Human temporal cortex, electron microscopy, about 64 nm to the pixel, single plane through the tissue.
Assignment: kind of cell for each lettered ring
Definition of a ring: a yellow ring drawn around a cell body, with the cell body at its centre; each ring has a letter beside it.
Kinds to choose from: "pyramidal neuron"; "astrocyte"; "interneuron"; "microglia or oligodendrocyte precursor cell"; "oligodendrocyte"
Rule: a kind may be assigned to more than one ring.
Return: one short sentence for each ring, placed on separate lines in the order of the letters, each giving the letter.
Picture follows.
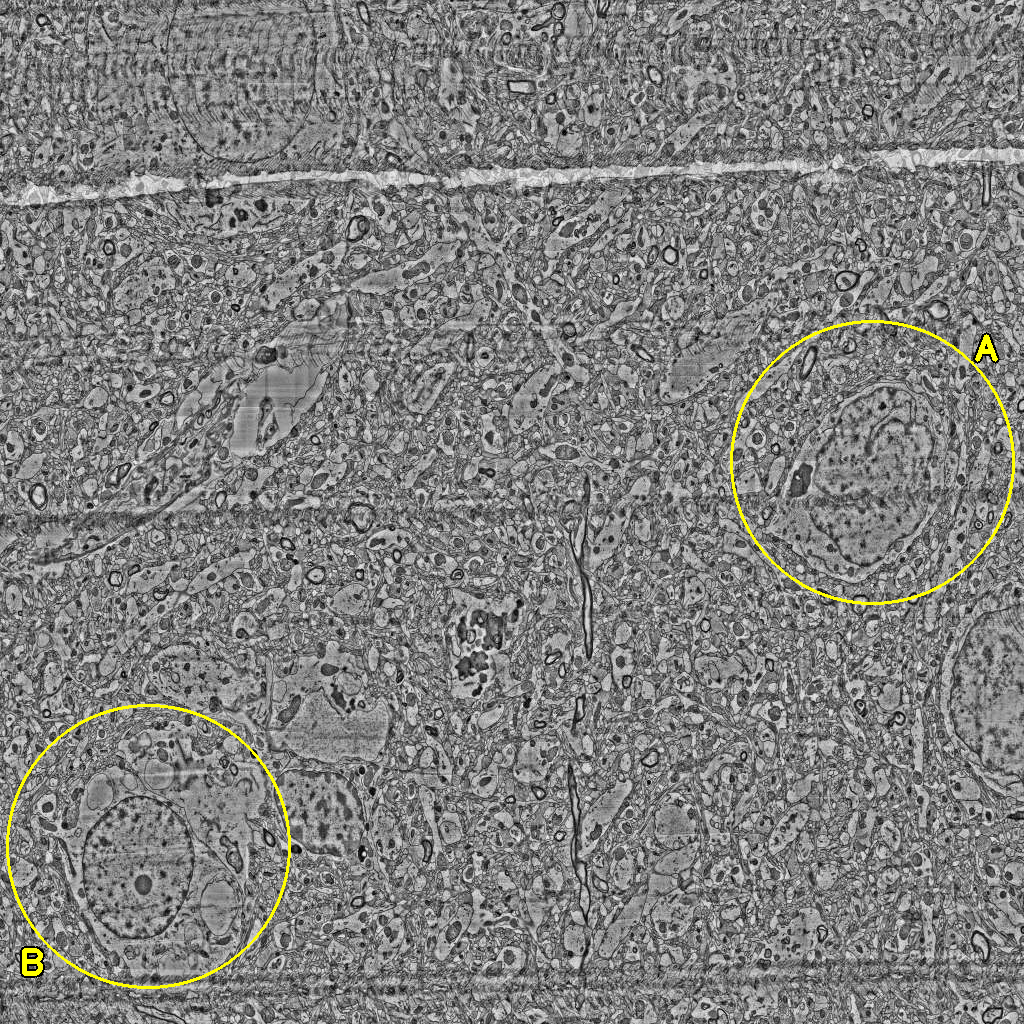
The ring marked A is centred on an interneuron.
The ring marked B is centred on an astrocyte.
